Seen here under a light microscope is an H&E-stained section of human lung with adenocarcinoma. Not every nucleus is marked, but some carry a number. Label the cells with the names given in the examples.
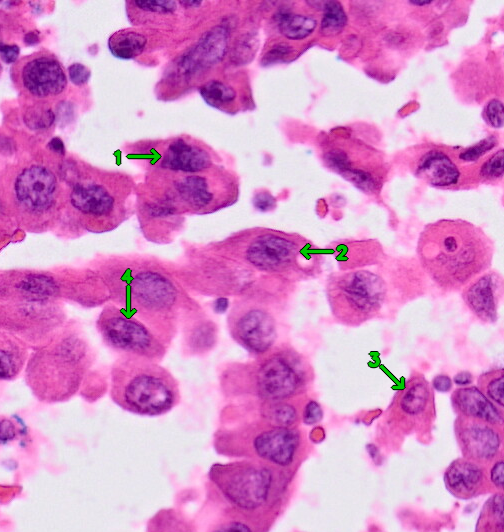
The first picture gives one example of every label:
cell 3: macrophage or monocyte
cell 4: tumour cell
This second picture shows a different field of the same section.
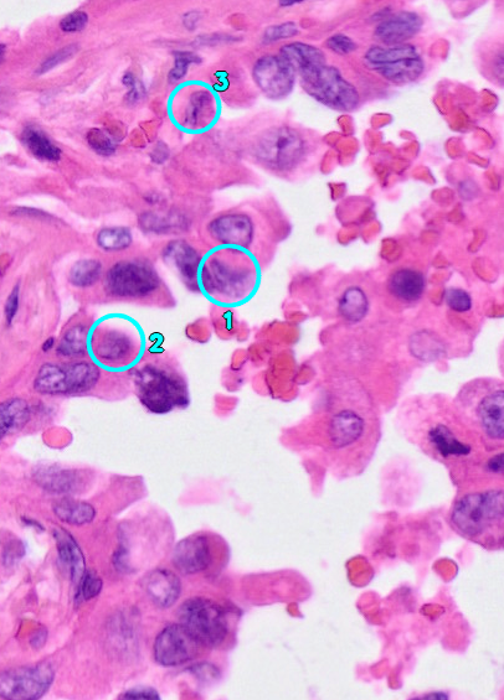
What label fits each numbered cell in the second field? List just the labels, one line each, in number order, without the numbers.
tumour cell
tumour cell
macrophage or monocyte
